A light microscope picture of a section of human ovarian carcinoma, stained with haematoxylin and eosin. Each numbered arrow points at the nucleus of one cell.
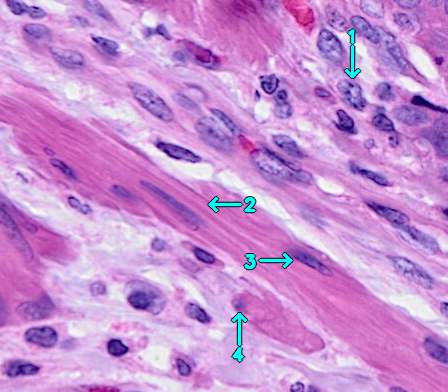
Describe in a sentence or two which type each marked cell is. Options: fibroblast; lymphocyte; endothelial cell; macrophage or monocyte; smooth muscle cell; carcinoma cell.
Cell 1 is a macrophage or monocyte, cell 2 is a smooth muscle cell, cell 3 is a smooth muscle cell and cell 4 is a smooth muscle cell.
